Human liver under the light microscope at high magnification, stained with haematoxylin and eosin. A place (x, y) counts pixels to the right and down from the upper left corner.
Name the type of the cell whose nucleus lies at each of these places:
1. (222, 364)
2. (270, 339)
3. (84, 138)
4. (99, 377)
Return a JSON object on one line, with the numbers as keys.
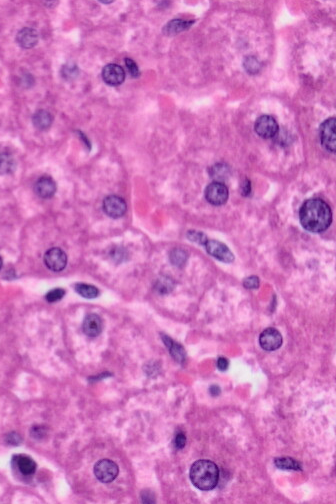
{"1": "lymphocyte", "2": "hepatocyte", "3": "endothelial cell", "4": "endothelial cell"}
